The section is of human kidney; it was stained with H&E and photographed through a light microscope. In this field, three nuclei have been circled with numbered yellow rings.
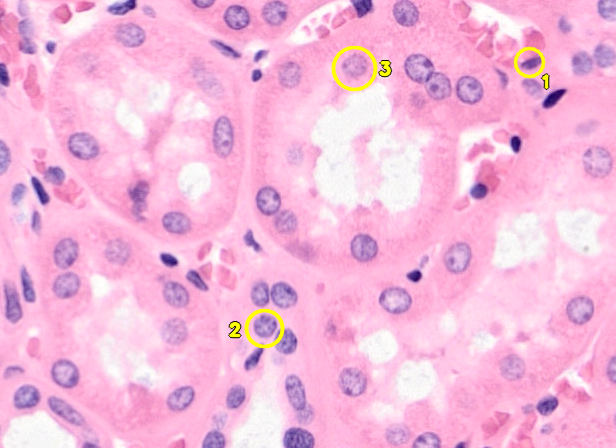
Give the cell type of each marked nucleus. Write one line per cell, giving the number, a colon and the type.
1: endothelial cell
2: collecting duct cell
3: proximal tubule cell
